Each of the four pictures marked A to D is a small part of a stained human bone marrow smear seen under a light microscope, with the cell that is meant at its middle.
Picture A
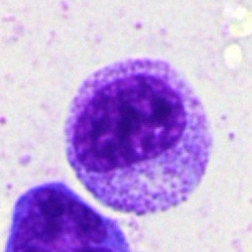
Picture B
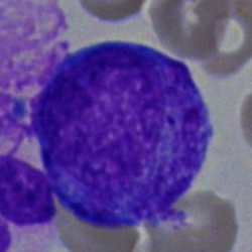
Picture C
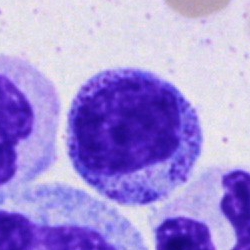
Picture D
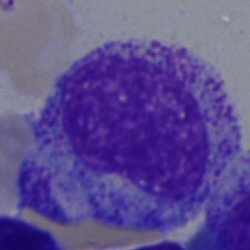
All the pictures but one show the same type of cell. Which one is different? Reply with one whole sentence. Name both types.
Picture B differs, because its cell is a promyelocyte and the rest are myelocytes.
